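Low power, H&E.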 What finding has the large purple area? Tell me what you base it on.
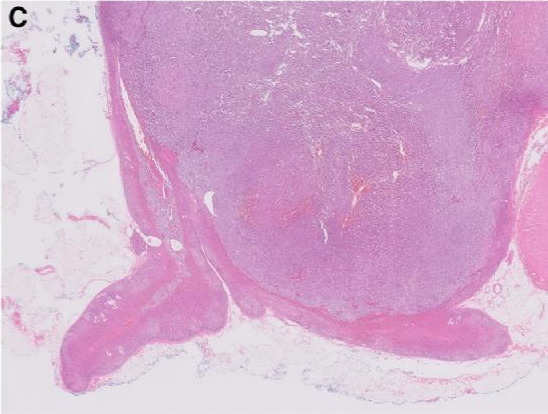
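A large, rounded, densely cellular purple region fills most of the panel. The purple region is sharply set off from the paler pink tissue around it.
Hence: Nodular mass.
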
